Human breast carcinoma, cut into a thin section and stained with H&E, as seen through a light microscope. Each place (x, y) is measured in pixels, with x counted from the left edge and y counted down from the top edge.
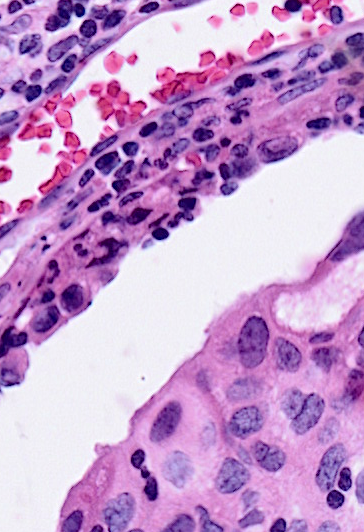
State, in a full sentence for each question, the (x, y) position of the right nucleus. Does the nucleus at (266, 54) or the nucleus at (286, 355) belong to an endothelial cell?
Of the pair, the nucleus positioned at (266, 54) is that of an endothelial cell.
